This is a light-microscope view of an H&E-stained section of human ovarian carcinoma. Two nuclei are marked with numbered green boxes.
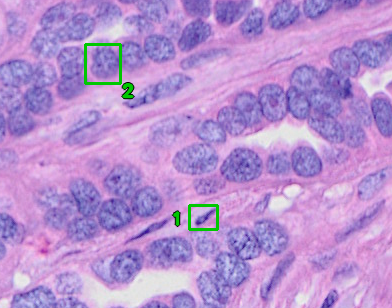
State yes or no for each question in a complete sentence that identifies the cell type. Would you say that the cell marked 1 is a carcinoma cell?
No, cell 1 is a fibroblast and should not be called a carcinoma cell.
